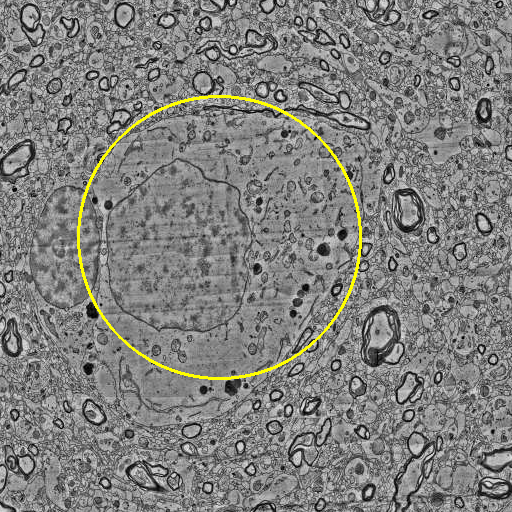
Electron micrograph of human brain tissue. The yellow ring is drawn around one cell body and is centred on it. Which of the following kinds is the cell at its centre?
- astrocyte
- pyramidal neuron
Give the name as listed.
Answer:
pyramidal neuron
